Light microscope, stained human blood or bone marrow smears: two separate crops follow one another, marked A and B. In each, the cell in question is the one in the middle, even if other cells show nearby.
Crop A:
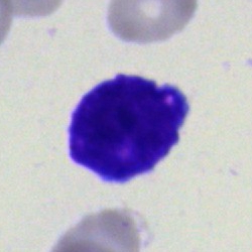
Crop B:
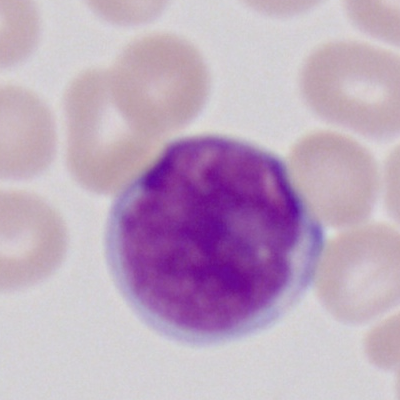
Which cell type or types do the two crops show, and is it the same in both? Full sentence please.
Yes, the crops both have blasts in the middle.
